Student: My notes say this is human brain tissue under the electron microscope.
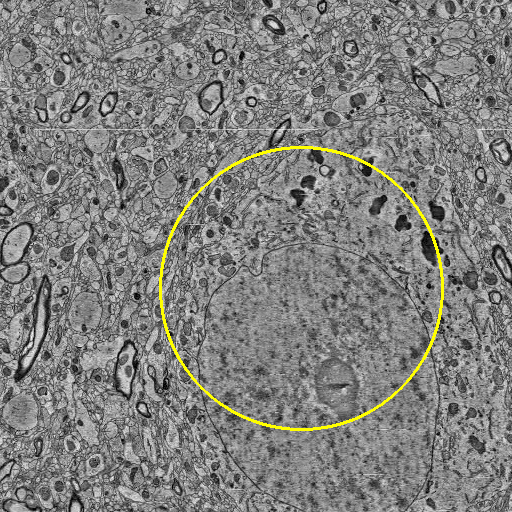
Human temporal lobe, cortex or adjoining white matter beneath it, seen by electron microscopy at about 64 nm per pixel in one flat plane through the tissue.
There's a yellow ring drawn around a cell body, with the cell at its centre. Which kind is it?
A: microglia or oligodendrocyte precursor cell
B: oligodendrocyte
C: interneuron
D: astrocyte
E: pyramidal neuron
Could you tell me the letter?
E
